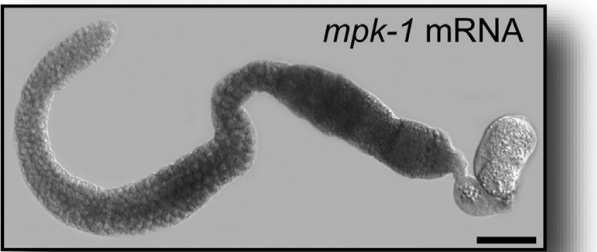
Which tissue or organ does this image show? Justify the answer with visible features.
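Gonad. A long tubular structure bends back on itself along its length. The tube is packed with many small round cells. One end of the tube widens into larger compartments next to an oval body at the right end.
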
